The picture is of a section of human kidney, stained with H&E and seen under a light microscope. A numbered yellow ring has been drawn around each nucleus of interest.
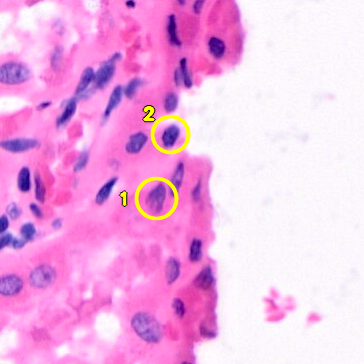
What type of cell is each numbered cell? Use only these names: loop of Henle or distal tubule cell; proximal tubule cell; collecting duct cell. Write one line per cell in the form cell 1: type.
cell 1: proximal tubule cell
cell 2: loop of Henle or distal tubule cell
